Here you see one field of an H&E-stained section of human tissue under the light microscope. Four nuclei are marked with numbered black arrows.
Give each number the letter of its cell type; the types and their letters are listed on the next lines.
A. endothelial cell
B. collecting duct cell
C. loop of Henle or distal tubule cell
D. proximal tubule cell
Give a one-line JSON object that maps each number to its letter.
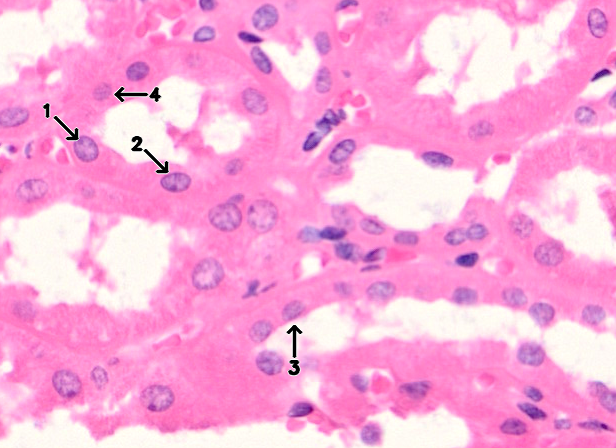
{"1": "D", "2": "D", "3": "C", "4": "D"}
